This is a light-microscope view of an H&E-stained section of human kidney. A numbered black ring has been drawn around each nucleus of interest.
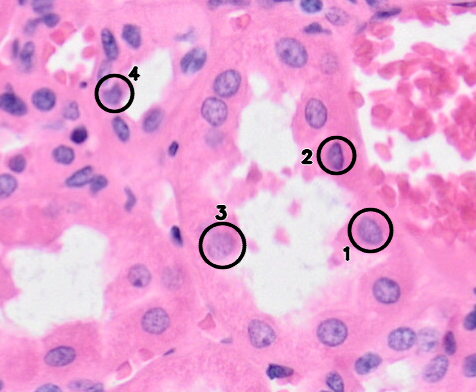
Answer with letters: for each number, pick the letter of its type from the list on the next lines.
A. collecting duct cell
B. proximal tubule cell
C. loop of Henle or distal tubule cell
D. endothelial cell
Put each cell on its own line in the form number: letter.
1: B
2: B
3: B
4: A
